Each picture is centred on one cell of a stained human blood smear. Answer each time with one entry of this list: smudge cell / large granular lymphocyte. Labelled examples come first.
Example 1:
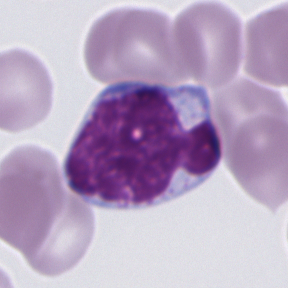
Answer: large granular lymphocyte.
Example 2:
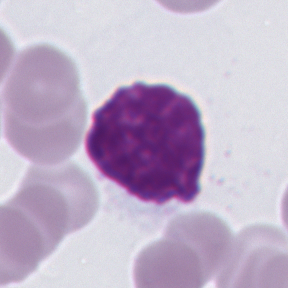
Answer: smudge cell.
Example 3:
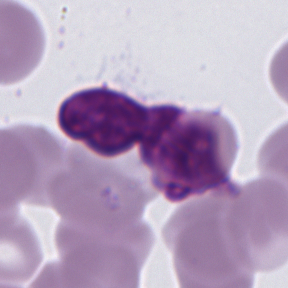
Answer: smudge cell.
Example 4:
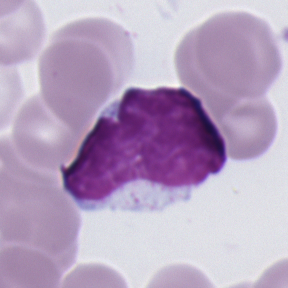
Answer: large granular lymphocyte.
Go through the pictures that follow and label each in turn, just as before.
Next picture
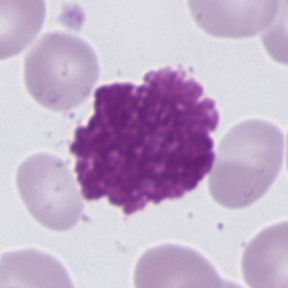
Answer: smudge cell.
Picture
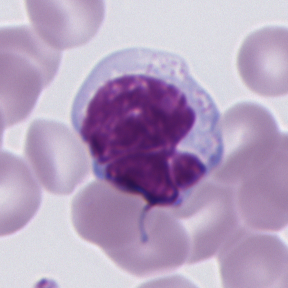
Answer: large granular lymphocyte.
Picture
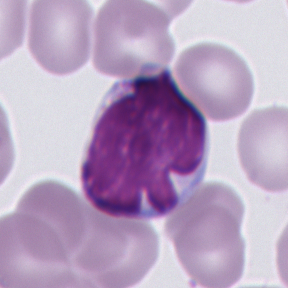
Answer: large granular lymphocyte.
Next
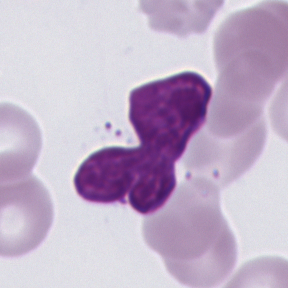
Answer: smudge cell.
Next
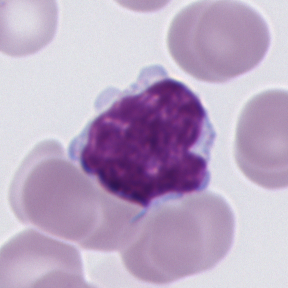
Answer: large granular lymphocyte.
